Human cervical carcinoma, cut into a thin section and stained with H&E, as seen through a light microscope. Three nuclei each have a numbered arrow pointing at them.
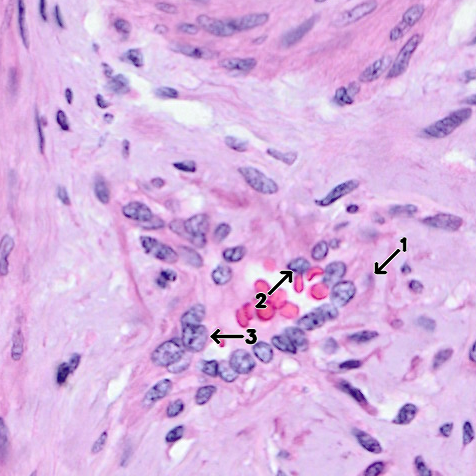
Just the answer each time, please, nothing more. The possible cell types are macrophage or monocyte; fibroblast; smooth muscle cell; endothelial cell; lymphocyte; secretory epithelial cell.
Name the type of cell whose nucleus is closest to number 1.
endothelial cell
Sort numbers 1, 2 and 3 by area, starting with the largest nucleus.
3, 2, 1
